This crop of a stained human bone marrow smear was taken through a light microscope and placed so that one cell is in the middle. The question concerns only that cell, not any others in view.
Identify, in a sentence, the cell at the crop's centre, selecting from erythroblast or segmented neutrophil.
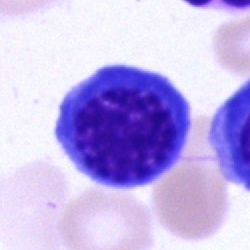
Within this crop, an erythroblast occupies the central position.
